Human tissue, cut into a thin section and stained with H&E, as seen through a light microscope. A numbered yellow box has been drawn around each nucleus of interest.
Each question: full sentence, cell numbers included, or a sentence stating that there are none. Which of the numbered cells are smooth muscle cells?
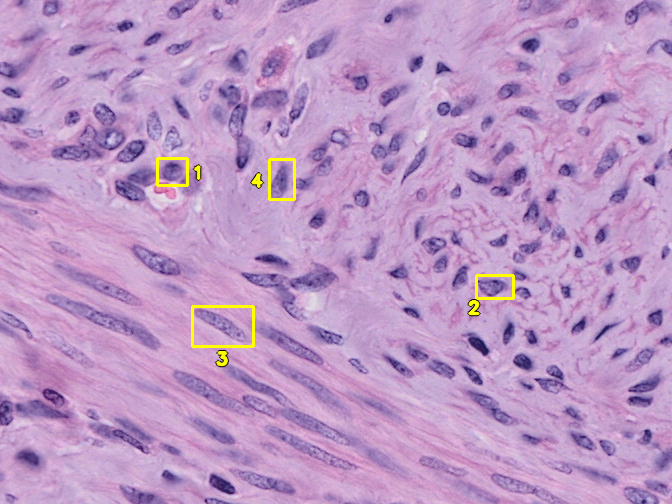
The cells numbered 2 and 3 are of one kind: smooth muscle cells.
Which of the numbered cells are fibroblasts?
Only the nucleus marked 4 is that of a fibroblast.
